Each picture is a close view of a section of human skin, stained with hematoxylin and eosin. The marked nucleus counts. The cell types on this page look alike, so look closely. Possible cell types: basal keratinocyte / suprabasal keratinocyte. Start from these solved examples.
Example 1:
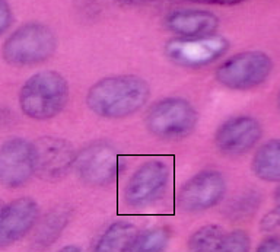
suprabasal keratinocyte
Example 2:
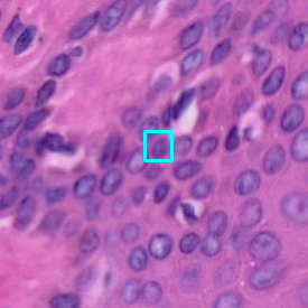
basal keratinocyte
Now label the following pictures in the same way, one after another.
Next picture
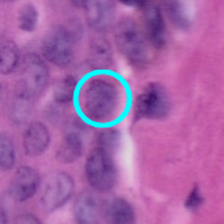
basal keratinocyte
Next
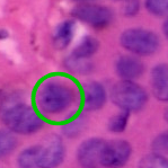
basal keratinocyte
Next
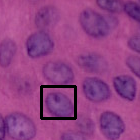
suprabasal keratinocyte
